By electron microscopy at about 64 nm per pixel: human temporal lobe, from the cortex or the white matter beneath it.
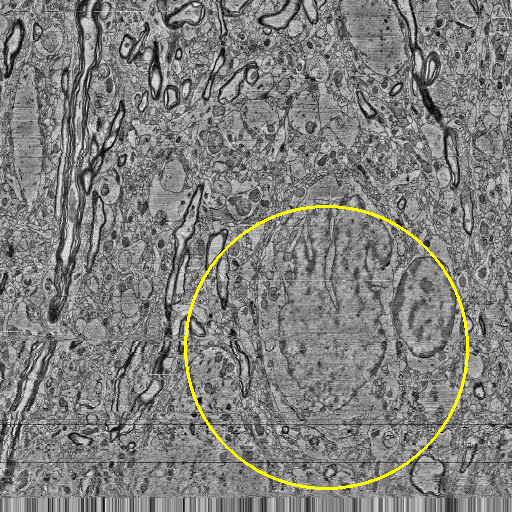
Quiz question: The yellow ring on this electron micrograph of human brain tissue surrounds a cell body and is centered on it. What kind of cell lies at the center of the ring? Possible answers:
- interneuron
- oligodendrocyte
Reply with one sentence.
The ring's center lies on an interneuron.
